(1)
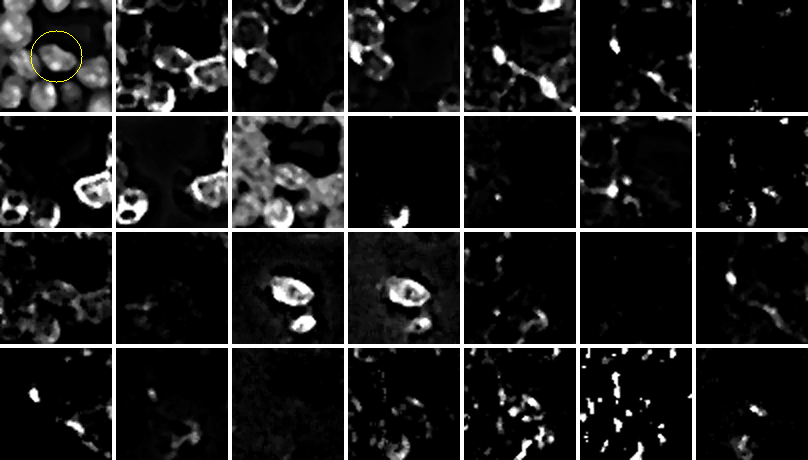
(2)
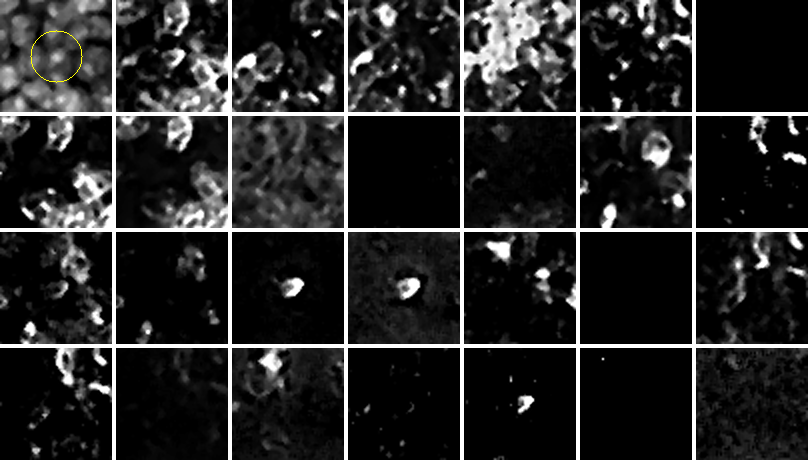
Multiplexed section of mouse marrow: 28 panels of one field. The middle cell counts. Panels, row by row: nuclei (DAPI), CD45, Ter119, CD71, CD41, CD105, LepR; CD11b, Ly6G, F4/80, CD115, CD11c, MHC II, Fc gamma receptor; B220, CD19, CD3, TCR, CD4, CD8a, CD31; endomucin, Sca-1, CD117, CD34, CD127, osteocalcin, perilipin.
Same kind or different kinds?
Same: double-negative T cells.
